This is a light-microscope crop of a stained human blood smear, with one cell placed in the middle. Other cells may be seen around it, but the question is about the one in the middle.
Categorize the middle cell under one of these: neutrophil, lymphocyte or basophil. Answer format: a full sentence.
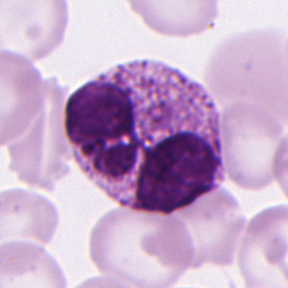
This crop has a basophil at its centre.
